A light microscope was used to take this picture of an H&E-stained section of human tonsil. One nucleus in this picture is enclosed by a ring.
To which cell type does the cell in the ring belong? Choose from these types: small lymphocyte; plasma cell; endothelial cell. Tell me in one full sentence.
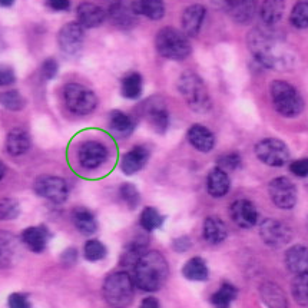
By cell type, the cell in the ring is a plasma cell.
